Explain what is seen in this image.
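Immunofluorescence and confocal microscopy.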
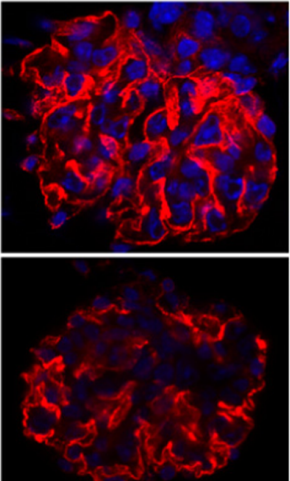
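Two renal glomeruli stacked one above the other, each a rounded, lobulated tuft. Red signal runs as continuous, wavy lines along the outer surfaces of the capillary loops, sketching the lobular outline of the tuft and its folds. Blue nuclei are scattered within the tuft between and beneath the red lines. In the upper tuft the red lines are bright, thick and sharply drawn; in the lower tuft they are fainter and more diffuse, with a hazier background inside the loops. Surrounding tissue outside the tufts is largely dark.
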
